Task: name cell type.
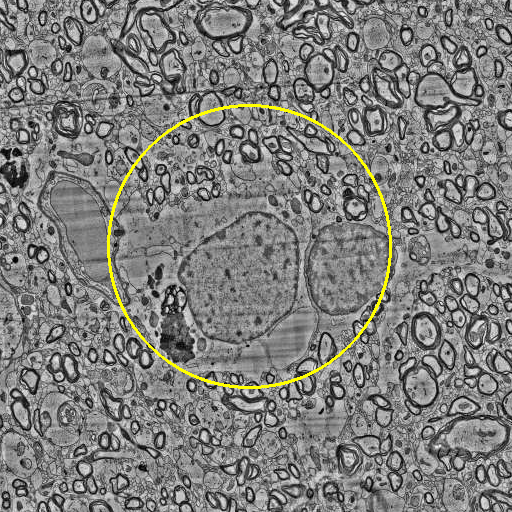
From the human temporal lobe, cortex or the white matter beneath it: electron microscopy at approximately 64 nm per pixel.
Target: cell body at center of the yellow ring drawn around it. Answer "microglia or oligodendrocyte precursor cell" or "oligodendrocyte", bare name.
microglia or oligodendrocyte precursor cell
